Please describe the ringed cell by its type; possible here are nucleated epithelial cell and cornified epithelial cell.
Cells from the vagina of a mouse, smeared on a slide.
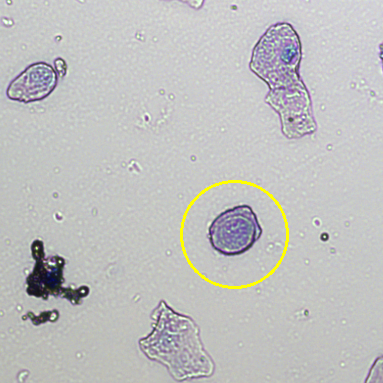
The yellow ring marks a nucleated epithelial cell.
